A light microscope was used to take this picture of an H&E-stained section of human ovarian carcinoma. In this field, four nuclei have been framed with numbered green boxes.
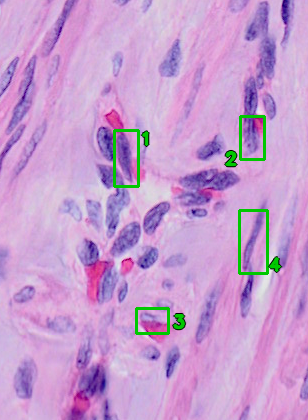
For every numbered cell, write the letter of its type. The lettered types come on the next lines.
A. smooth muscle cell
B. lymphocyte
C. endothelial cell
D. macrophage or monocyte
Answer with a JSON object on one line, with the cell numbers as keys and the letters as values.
{"1": "C", "2": "C", "3": "C", "4": "A"}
